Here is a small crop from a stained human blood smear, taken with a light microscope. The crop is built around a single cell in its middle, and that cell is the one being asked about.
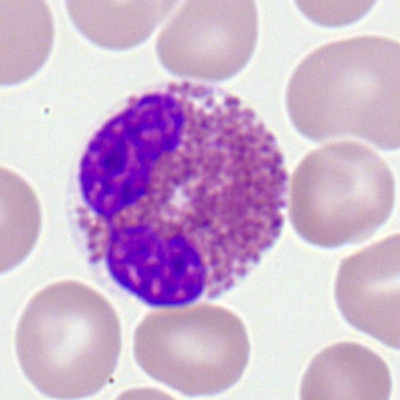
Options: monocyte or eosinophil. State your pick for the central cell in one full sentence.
In short, the cell at the center is an eosinophil.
